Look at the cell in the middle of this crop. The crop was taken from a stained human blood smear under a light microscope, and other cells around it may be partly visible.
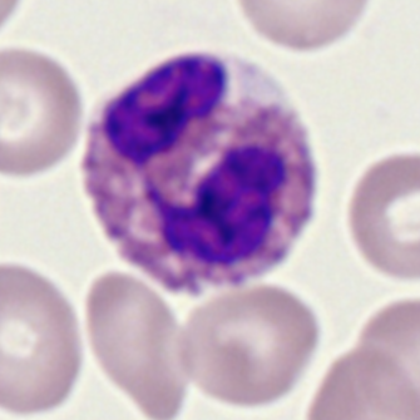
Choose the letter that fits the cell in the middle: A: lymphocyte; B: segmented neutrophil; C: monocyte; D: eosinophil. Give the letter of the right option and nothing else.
D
